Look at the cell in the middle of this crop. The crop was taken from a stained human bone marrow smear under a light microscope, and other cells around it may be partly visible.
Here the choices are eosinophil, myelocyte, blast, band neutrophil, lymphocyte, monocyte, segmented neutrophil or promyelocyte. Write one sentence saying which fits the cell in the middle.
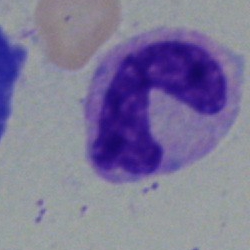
At the crop's centre, the cell is a band neutrophil.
